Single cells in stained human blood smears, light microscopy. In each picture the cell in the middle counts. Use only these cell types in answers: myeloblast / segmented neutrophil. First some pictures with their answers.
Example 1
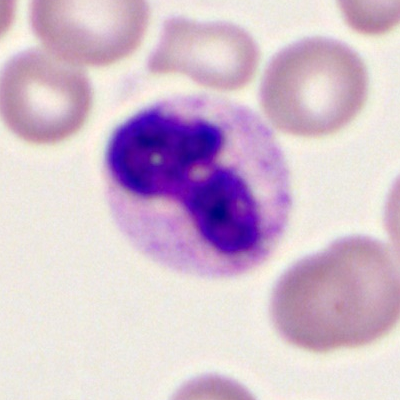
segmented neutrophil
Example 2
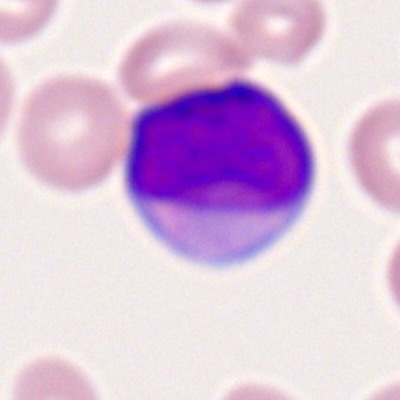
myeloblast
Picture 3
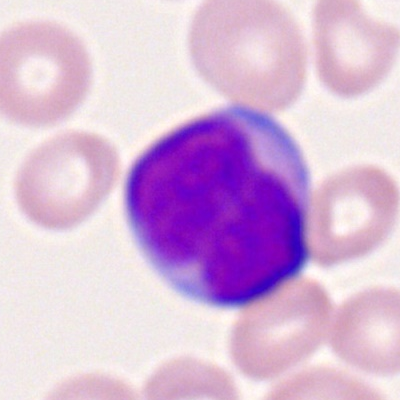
myeloblast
